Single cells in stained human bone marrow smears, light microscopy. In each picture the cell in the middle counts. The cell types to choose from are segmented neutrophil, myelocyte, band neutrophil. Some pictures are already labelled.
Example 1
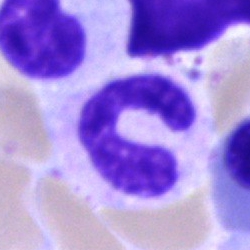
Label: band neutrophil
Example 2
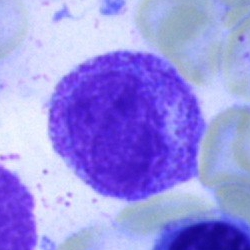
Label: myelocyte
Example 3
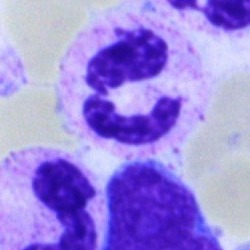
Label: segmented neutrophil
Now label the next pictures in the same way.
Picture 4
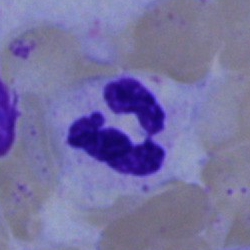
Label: segmented neutrophil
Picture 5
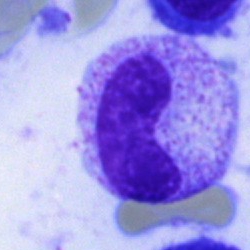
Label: band neutrophil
